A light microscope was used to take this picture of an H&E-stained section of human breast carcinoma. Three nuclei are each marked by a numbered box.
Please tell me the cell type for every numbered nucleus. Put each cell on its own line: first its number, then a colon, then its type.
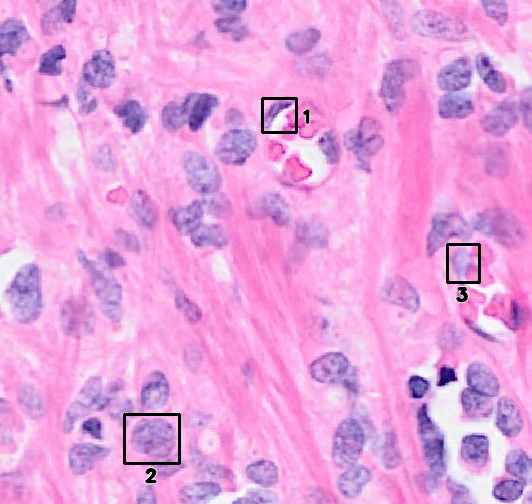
1: endothelial cell
2: carcinoma cell
3: endothelial cell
